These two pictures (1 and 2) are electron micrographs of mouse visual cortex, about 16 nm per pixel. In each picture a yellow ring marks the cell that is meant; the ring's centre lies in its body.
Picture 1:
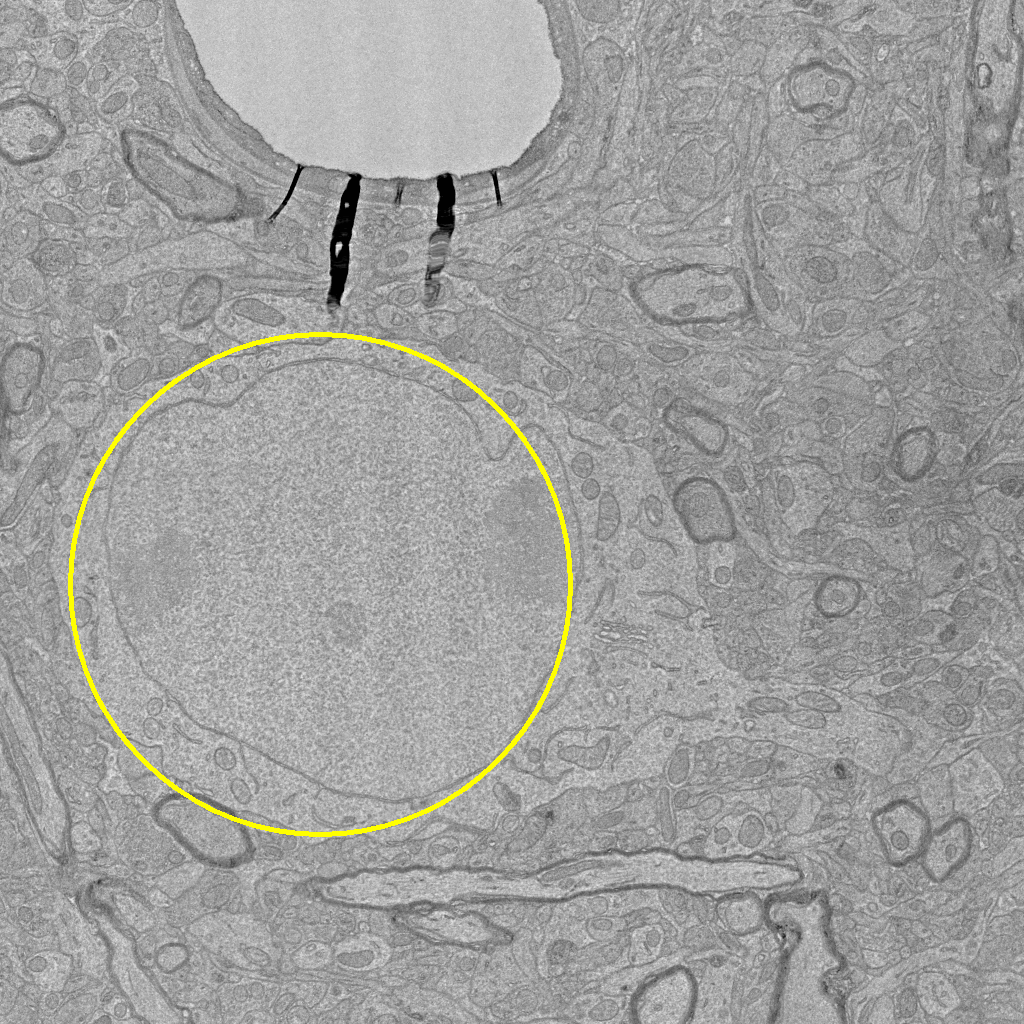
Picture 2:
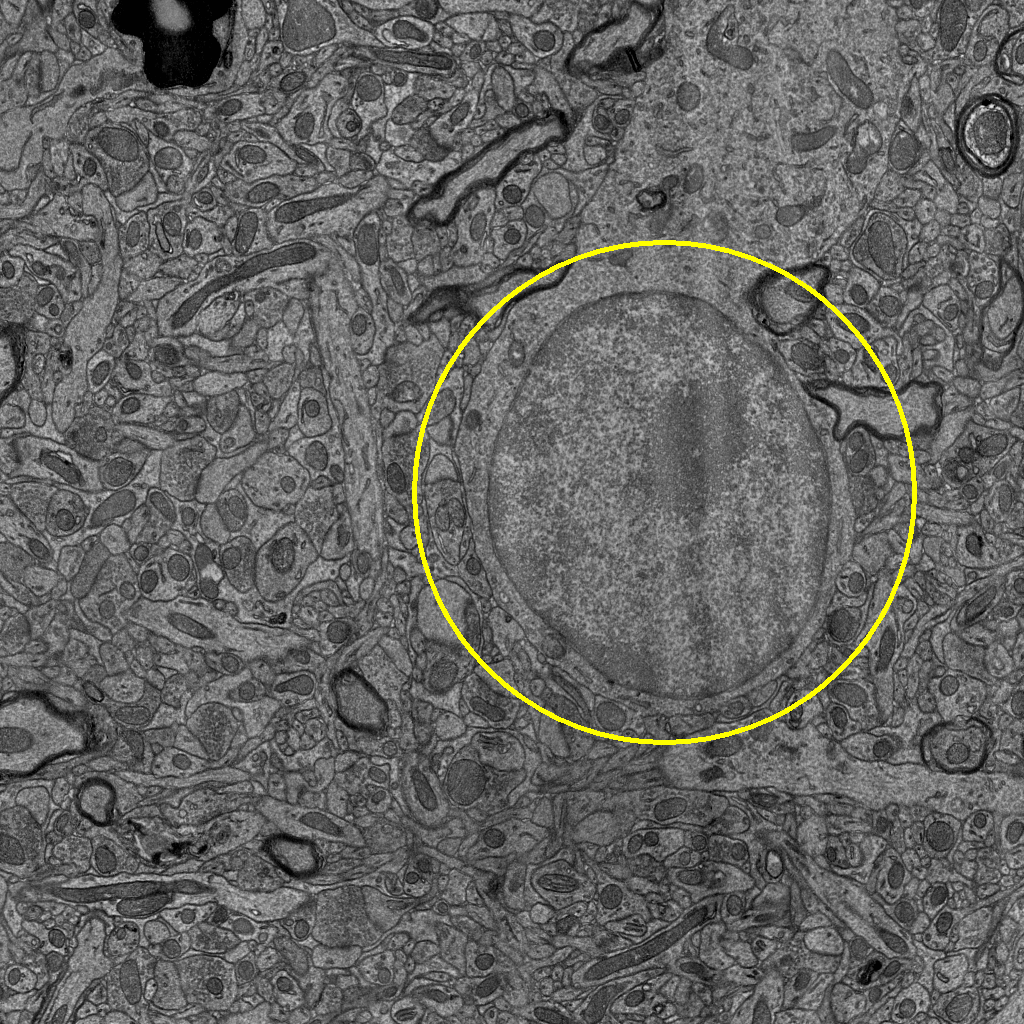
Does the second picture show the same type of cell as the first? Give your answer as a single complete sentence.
No. Picture 1 shows an excitatory neuron, but picture 2 shows an oligodendrocyte.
